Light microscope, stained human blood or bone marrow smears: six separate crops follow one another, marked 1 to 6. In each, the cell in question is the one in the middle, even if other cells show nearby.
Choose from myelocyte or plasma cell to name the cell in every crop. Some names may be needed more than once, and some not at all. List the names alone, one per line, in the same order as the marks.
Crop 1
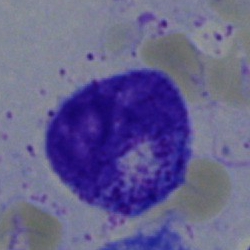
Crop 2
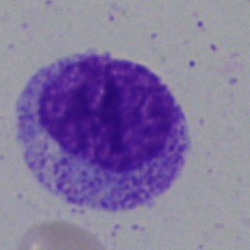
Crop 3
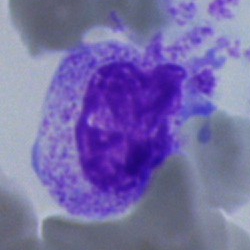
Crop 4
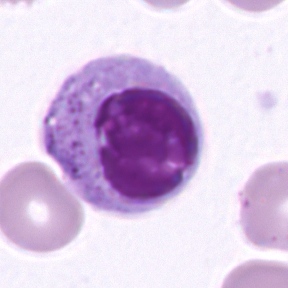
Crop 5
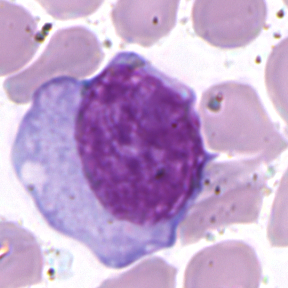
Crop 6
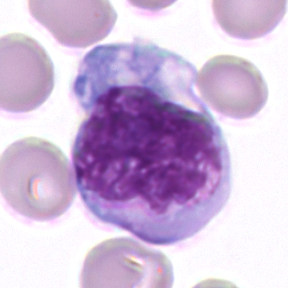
myelocyte
myelocyte
myelocyte
plasma cell
plasma cell
plasma cell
